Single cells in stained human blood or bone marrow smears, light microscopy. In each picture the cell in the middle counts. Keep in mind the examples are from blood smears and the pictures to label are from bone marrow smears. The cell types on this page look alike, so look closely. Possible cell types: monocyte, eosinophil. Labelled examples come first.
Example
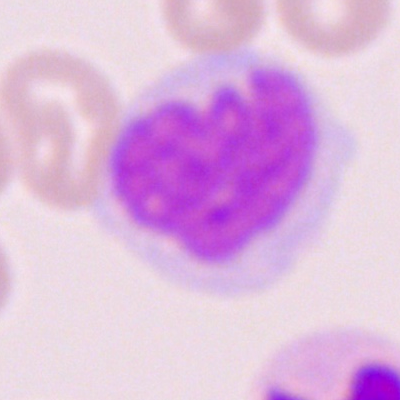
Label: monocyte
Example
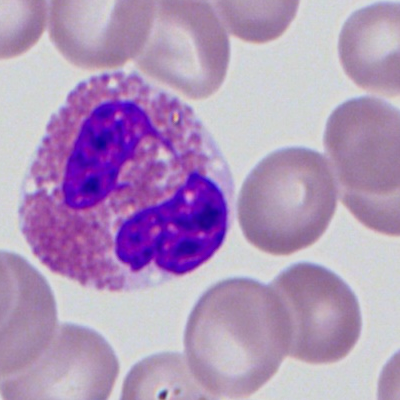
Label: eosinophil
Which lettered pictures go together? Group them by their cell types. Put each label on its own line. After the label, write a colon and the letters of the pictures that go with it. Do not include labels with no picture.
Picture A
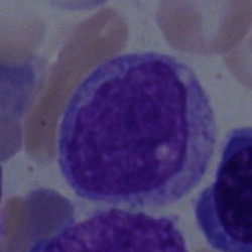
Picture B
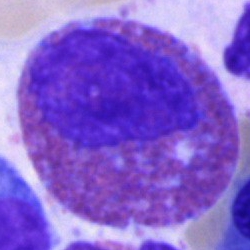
monocyte: A
eosinophil: B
